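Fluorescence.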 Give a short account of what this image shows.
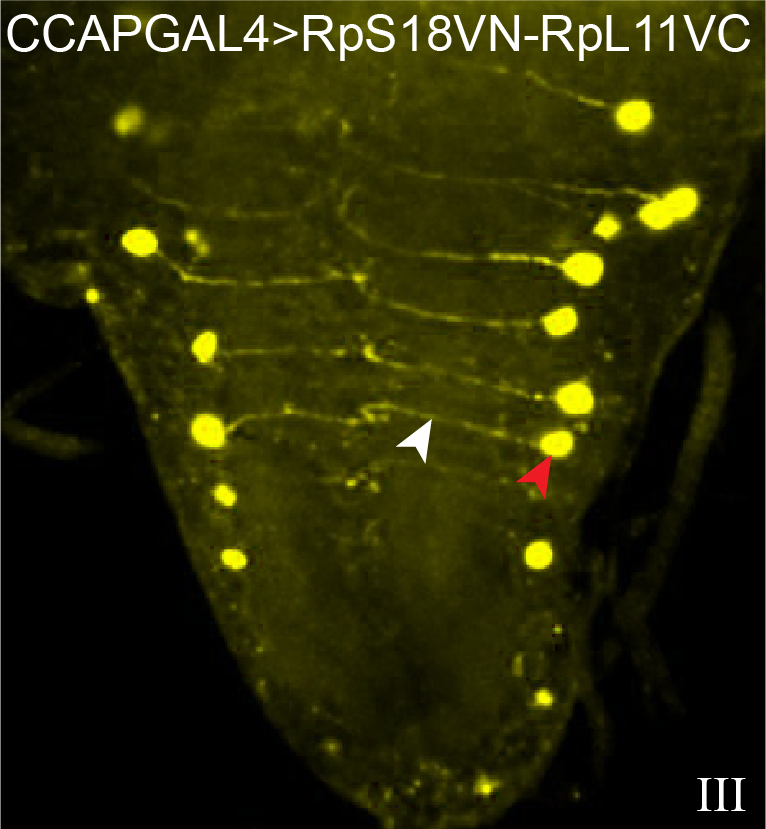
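This is the ventral nerve cord, seen from above, in which a small set of individual neurons is labelled. Thin, beaded axons run from these cell bodies across the cord toward the midline, forming a ladder-like series of parallel fibres. The rest of the tissue shows only faint background.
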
